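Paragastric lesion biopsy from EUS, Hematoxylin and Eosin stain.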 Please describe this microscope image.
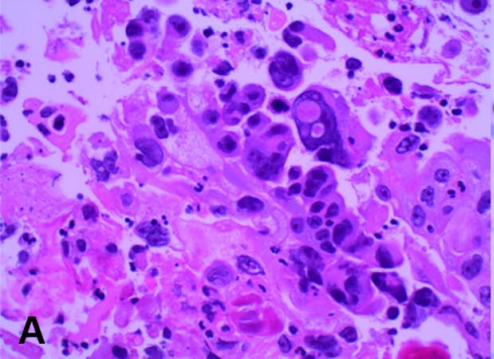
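The tumor cells are large and loosely clustered, with dark purple, irregular nuclei that vary greatly in size. Several cells contain two or more nuclei, and some nuclei show prominent nucleoli. The cytoplasm is pink and moderate in amount. Small dark inflammatory cells and pink amorphous material lie between the tumor cells.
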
